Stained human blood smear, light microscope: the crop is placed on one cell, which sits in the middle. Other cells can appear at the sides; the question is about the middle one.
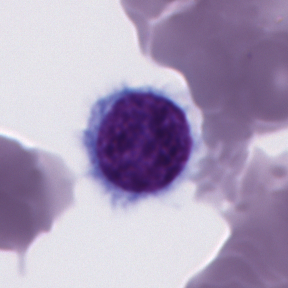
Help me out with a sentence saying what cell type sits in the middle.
Seen at the centre of the crop is a hairy cell.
